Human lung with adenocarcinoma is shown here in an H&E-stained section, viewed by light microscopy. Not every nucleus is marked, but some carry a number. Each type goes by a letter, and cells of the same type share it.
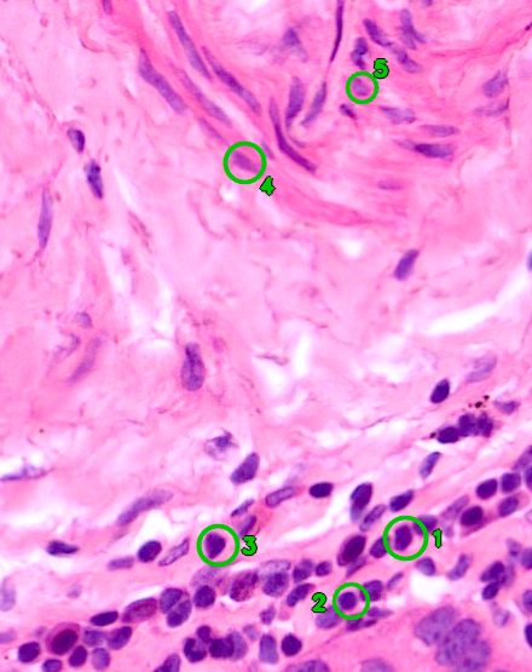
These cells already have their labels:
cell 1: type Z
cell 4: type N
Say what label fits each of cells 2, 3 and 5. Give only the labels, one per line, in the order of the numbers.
type Z
type Z
type N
